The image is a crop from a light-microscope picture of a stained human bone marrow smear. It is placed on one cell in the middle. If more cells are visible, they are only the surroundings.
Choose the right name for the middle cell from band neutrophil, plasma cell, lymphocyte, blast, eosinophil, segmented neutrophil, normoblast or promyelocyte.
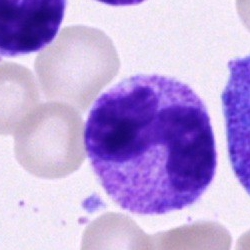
segmented neutrophil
